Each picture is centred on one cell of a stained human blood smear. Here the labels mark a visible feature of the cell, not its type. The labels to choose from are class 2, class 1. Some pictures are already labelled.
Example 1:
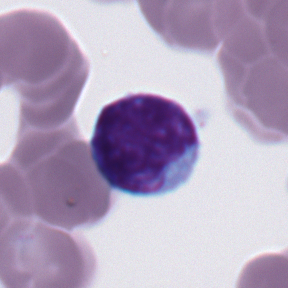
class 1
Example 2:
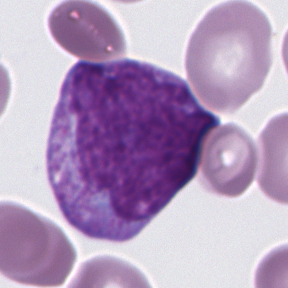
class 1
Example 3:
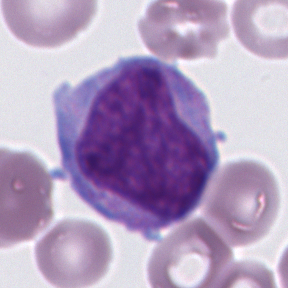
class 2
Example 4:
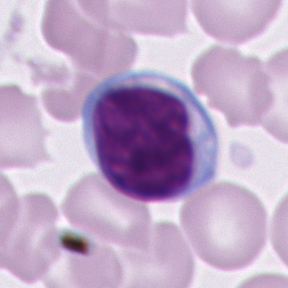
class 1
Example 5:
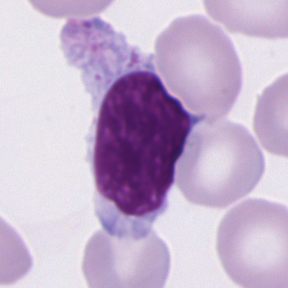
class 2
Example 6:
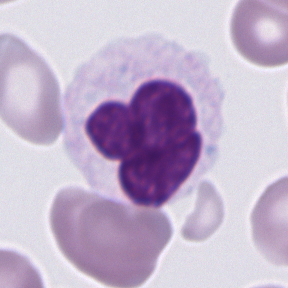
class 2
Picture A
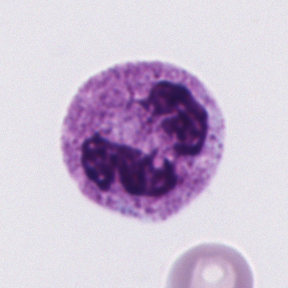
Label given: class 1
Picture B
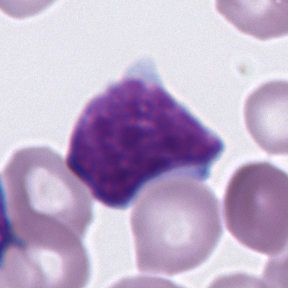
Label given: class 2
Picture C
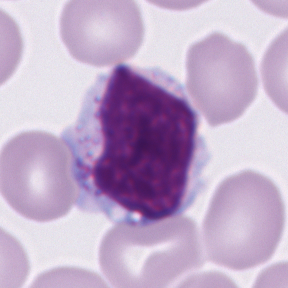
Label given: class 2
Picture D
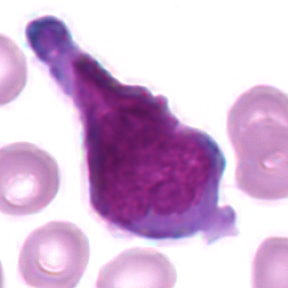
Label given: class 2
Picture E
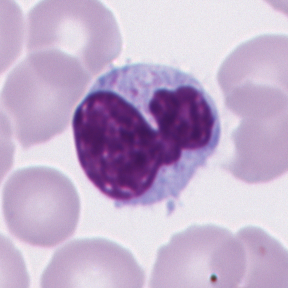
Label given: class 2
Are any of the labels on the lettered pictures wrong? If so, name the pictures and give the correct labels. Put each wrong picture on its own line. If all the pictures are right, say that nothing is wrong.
Nothing to fix; every label fits.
